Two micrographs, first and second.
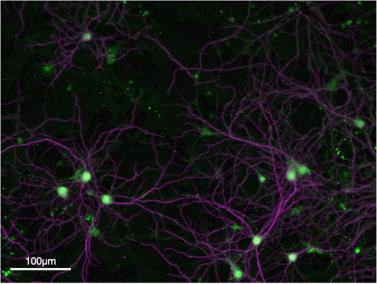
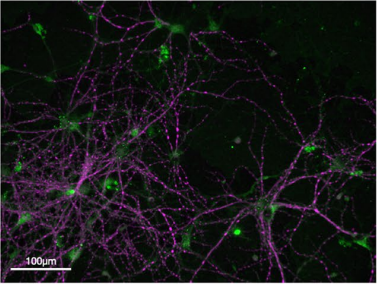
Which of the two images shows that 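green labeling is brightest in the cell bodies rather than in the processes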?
The first image.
